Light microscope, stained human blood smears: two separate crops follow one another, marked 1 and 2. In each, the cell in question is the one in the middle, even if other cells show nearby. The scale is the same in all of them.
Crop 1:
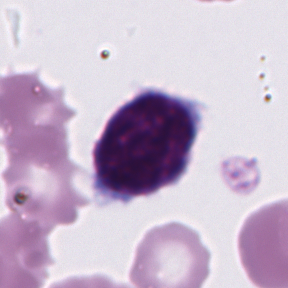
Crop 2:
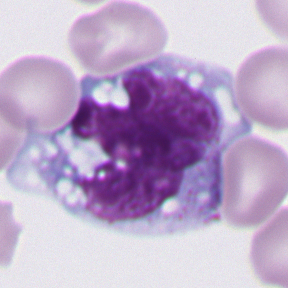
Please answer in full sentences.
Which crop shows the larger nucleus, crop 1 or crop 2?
Crop 2 shows the larger nucleus; it covers about 2 times the area of the nucleus in crop 1.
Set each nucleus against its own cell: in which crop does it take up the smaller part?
In crop 2 the nucleus takes up the smaller part of its cell.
